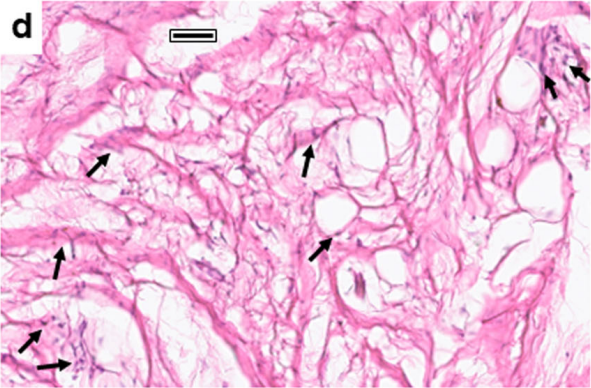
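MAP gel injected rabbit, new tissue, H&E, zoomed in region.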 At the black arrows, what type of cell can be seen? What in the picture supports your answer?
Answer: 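The arrows end at small, dark purple, elongated nuclei. These nuclei lie along and among pink fibrous strands.
Conclusion: fibroblasts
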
